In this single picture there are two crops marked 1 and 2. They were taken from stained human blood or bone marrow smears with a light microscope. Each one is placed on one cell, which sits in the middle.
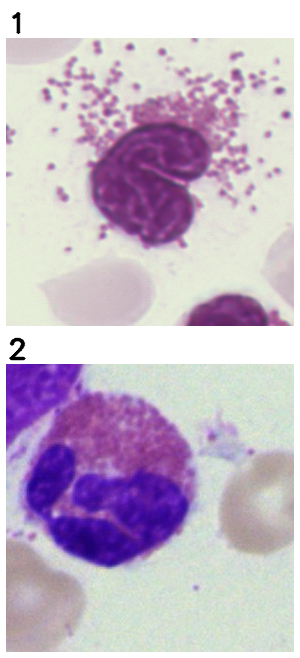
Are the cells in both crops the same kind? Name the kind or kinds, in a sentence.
Yes, these two crops both show eosinophils.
